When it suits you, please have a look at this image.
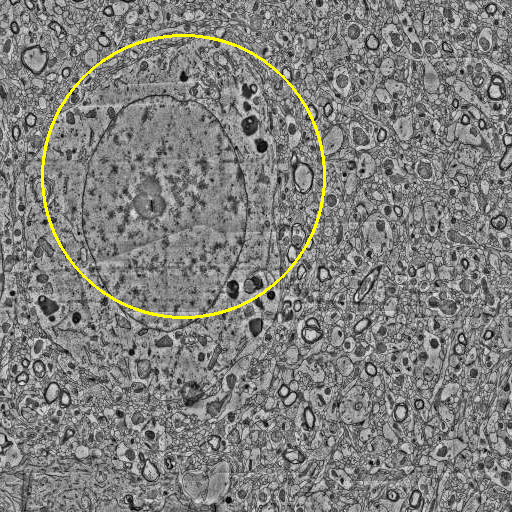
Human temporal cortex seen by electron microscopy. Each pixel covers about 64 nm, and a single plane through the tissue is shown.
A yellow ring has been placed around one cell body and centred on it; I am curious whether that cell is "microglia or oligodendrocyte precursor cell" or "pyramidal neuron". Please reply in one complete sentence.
The ringed cell, a pyramidal neuron, has its body at the centre of the yellow ring.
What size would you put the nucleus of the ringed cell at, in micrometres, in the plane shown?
The nucleus is approximately 15 micrometers long by 11 micrometers wide in this plane.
